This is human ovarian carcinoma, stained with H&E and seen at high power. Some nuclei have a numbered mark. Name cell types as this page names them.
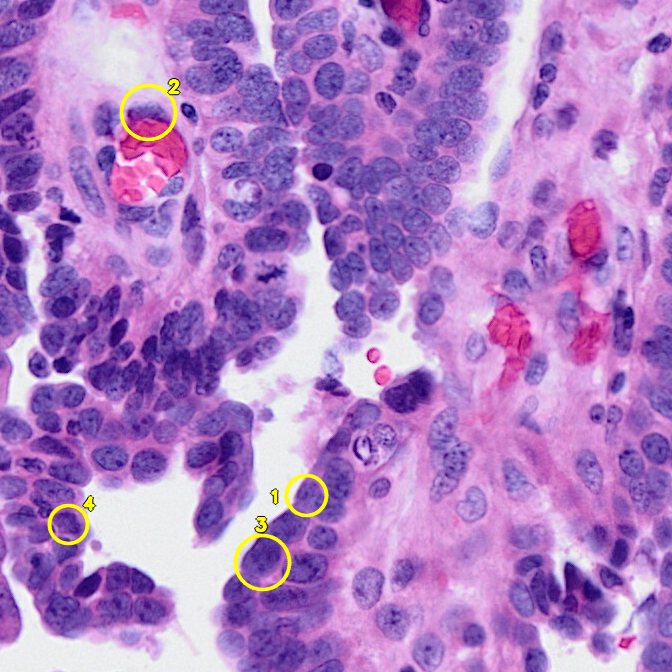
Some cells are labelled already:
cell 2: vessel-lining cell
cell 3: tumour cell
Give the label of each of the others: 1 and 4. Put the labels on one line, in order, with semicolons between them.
tumour cell; tumour cell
